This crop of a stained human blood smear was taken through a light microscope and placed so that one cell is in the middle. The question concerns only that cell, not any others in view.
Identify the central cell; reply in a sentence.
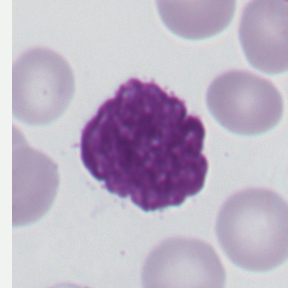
The cell the crop is centered on is a smudge cell.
